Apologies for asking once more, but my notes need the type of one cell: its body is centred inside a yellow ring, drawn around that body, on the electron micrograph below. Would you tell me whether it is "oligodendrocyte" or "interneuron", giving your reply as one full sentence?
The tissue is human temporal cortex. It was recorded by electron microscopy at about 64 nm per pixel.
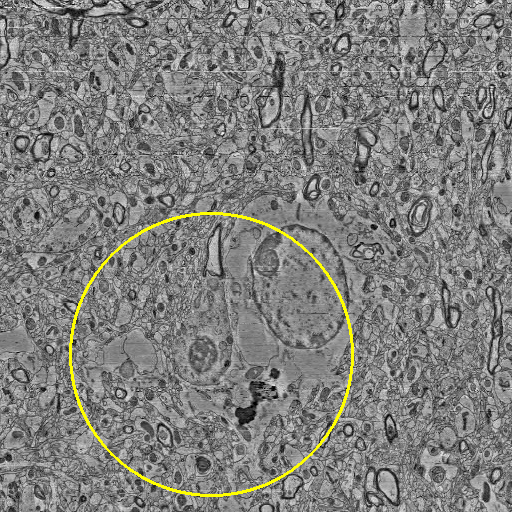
The cell that the yellow ring is centred on is an oligodendrocyte in this micrograph.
